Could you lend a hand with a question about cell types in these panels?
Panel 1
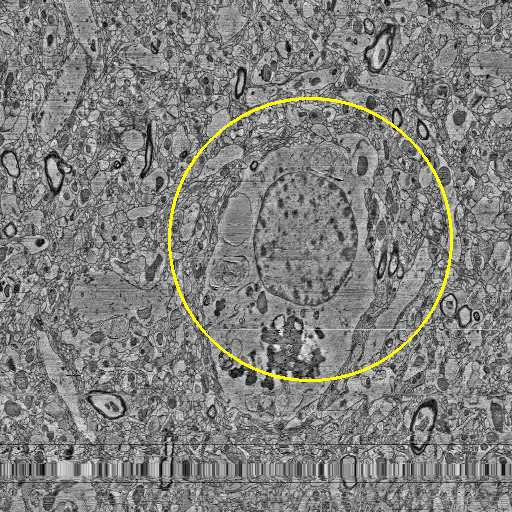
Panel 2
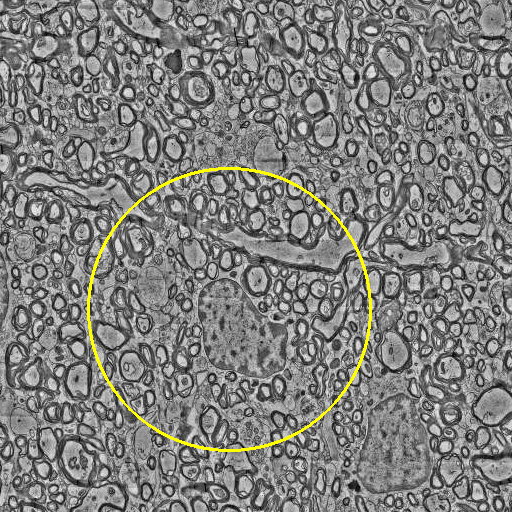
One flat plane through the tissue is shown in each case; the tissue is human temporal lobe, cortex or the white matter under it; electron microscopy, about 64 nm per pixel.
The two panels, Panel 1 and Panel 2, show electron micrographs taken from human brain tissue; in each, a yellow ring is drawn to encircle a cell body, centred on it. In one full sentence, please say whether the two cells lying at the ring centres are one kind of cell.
No, the cells at the ring centres in the two panels are two kinds of cell.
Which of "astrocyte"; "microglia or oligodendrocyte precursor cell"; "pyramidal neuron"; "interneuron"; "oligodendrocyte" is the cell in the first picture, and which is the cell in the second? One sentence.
The two differ: the first cell is an astrocyte and the second is a microglial cell or oligodendrocyte precursor cell.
